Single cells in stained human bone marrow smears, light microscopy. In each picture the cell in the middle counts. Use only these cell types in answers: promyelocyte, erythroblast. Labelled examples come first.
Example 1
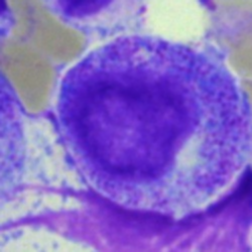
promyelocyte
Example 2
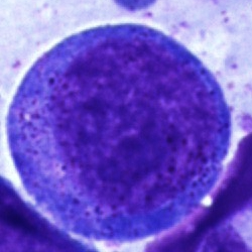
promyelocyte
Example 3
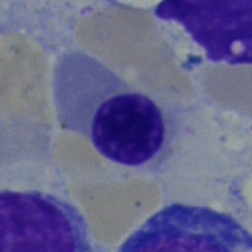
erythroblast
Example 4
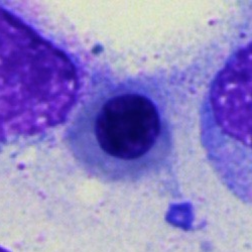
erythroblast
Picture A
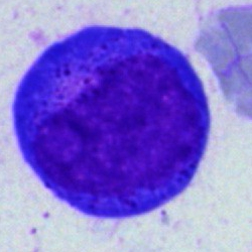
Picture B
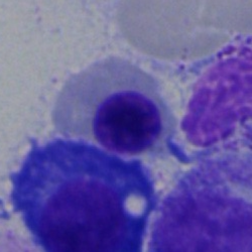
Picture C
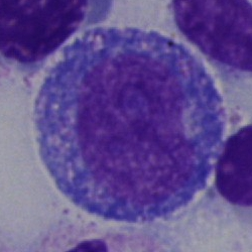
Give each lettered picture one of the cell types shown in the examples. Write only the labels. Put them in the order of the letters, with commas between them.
promyelocyte, erythroblast, promyelocyte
